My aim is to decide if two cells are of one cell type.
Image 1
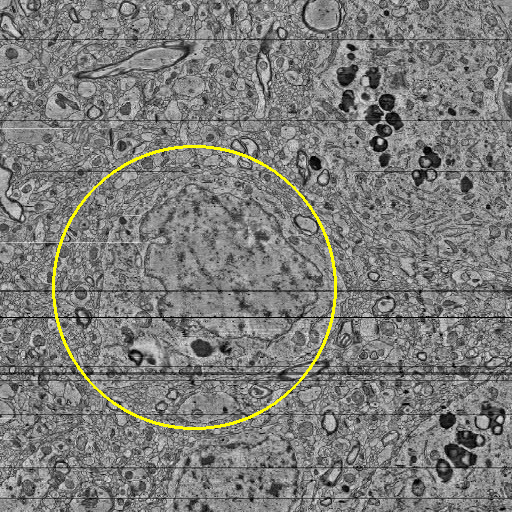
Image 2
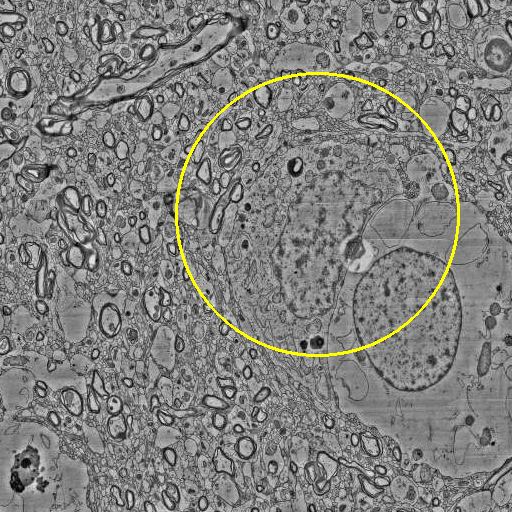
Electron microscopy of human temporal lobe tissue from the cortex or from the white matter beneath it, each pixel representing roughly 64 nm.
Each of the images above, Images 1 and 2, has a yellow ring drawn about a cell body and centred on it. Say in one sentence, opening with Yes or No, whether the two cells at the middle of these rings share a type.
Yes, in Images 1 and 2 the cells at the middle of the rings share one type.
